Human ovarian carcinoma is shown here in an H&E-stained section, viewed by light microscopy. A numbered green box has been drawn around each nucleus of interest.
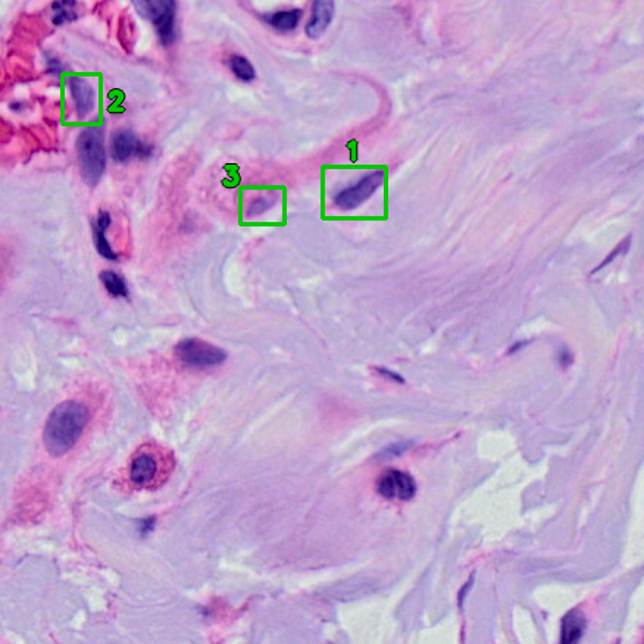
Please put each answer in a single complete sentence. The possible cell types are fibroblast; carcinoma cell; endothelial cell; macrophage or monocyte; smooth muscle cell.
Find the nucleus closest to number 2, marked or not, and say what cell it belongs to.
Number 2 lies closest to the nucleus of an endothelial cell.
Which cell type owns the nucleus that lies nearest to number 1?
The nucleus nearest to number 1 is that of a smooth muscle cell.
